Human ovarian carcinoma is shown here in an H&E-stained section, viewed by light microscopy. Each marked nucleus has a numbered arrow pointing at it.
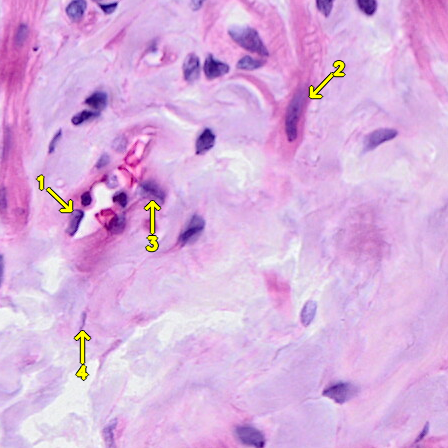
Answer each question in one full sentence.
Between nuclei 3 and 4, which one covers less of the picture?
Nucleus 4 is the smaller one; nucleus 3 covers about 3 times its area.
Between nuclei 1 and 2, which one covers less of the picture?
Nucleus 1 is the smaller one; nucleus 2 covers about 3 times its area.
